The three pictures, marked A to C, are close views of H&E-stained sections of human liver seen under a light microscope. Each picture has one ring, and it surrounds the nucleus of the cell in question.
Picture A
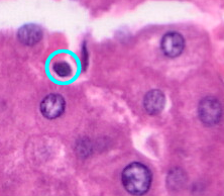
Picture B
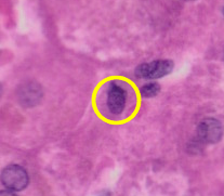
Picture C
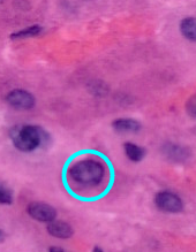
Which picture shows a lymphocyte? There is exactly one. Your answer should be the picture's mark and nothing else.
A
